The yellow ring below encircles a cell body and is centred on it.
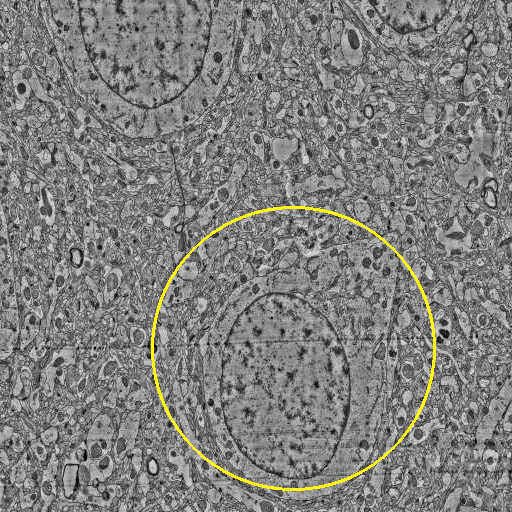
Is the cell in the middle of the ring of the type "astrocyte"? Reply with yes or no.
no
